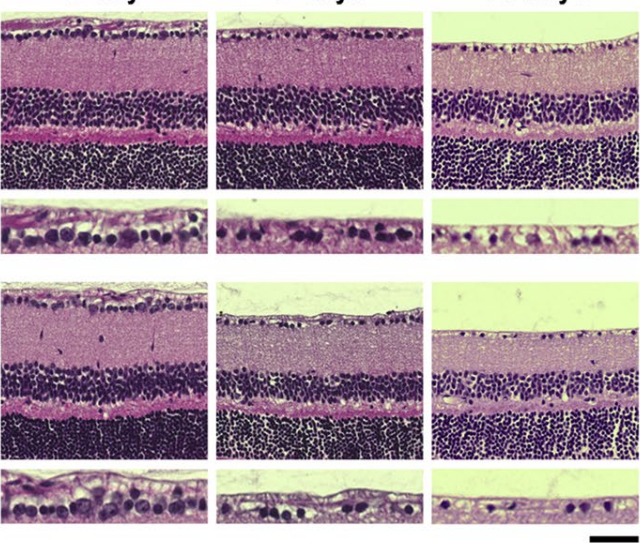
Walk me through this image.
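These are cross sections of the retina, stained pink and purple, with the inner surface at the top of each strip. Along the top runs a single loose row of dark purple nuclei, the ganglion cell layer. Beneath it lies a broad pale pink band with few nuclei, the inner plexiform layer. Below that comes a dense band of crowded dark nuclei, the inner nuclear layer, then a thin pink band and a still thicker, tightly packed band of small dark nuclei, the outer nuclear layer. In the enlarged strips beneath, the cells of the top row appear as rounded nuclei, some large and pale with visible cytoplasm. In strips toward the right the top row looks sparser, with gaps between the nuclei, and the inner bands look thinner.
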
